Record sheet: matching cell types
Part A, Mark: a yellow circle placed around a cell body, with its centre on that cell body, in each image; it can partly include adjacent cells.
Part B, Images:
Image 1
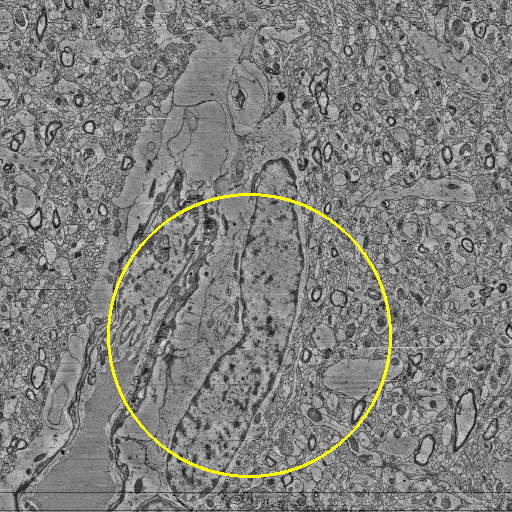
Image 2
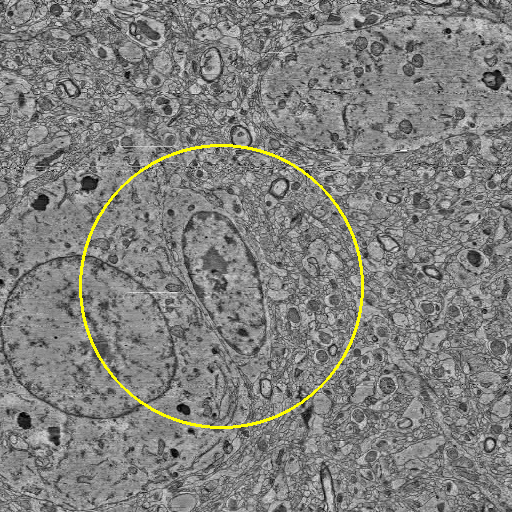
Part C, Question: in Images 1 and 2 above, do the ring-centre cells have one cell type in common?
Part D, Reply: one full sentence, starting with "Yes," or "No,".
Yes, the ring-centre cells of Image 1 and Image 2 are both of a single cell type.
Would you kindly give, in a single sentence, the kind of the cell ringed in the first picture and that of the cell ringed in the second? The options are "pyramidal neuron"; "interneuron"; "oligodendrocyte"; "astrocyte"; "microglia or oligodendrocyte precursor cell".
Each cell, in the first picture and the second, is a microglial cell or oligodendrocyte precursor cell.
